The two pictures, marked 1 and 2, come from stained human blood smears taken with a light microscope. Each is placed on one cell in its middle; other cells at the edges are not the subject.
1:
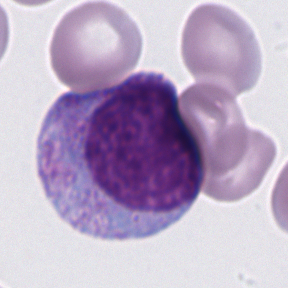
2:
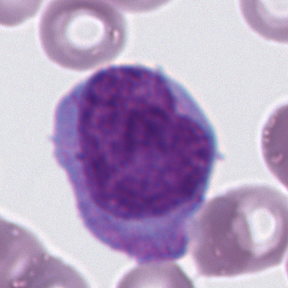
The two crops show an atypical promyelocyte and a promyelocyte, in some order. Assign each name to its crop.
1: promyelocyte
2: atypical promyelocyte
